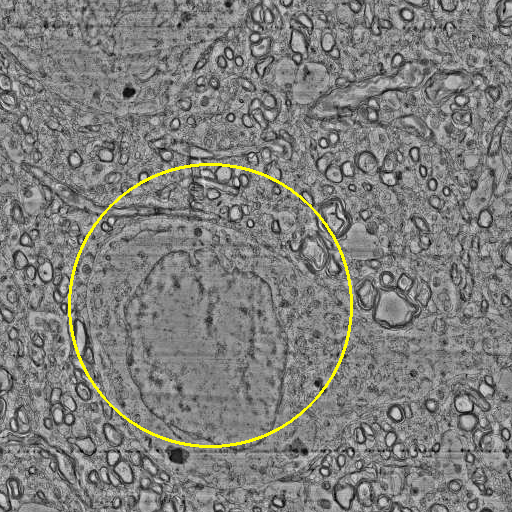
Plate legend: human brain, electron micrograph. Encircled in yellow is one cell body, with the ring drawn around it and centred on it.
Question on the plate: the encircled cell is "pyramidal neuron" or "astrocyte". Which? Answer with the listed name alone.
pyramidal neuron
